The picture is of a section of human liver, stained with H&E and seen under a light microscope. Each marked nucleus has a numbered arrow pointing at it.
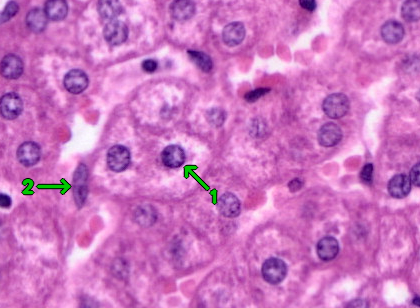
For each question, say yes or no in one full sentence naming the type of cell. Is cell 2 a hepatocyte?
No, the marker 2 sits on a Kupffer cell, not on a hepatocyte.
